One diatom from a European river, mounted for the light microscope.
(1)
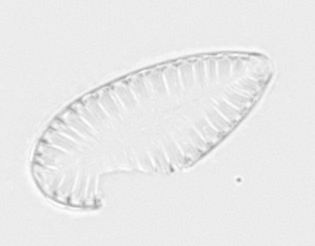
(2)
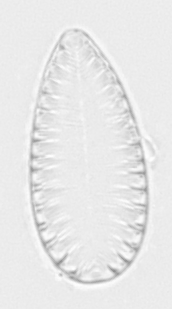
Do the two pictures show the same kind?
Yes, both are Surirella.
